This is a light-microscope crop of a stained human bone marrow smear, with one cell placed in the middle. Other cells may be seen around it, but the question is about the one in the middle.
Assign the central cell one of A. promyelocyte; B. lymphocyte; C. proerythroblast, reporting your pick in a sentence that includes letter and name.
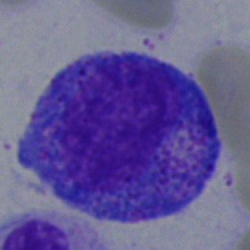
Option A is the correct selection, for the cell at the centre is a promyelocyte.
